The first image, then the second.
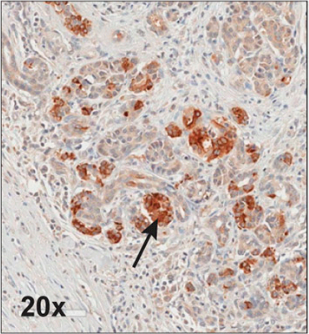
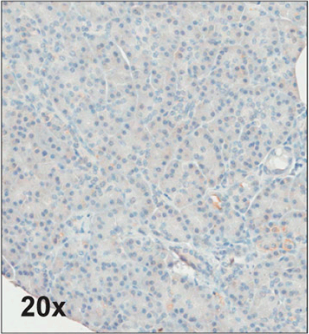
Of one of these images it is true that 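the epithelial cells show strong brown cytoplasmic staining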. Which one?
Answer: The first image.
